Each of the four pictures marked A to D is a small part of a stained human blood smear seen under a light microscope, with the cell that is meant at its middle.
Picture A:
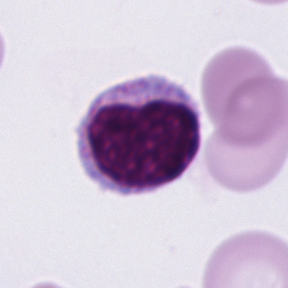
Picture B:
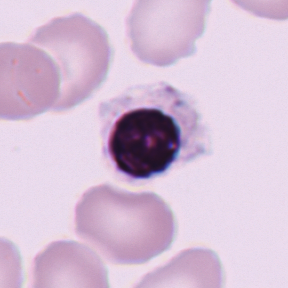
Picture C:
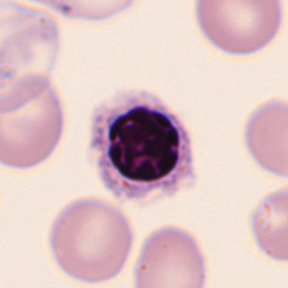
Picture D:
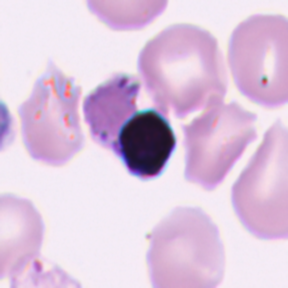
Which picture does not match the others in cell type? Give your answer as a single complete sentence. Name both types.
The others show normoblasts, but picture A shows a large granular lymphocyte.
